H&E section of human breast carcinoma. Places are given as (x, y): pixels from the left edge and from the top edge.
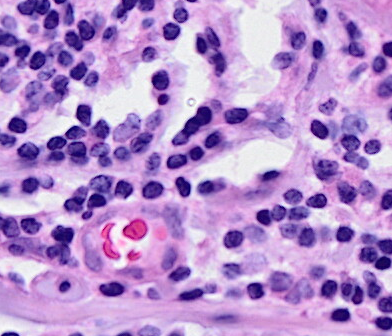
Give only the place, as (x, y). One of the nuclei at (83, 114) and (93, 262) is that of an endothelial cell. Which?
(93, 262)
